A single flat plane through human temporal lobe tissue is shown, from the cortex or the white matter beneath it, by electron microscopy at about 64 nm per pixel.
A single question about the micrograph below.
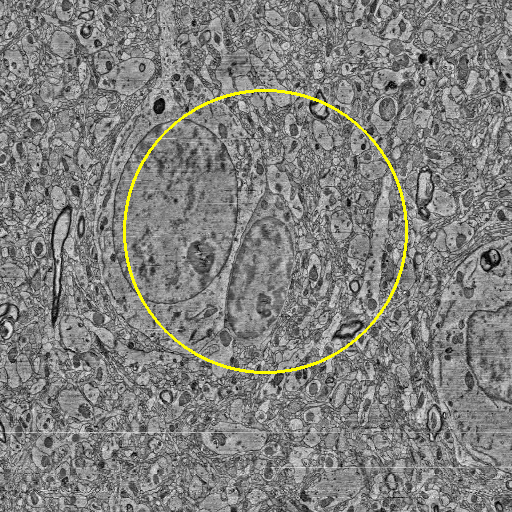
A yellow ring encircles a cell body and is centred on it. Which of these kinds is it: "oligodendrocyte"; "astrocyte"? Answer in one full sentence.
The cell body at the centre of the yellow ring belongs to an oligodendrocyte.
